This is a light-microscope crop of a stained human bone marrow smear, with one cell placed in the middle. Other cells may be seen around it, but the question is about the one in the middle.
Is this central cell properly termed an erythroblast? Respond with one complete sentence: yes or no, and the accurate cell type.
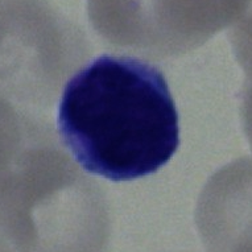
No, calling it an erythroblast is wrong; the middle cell is a lymphocyte.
